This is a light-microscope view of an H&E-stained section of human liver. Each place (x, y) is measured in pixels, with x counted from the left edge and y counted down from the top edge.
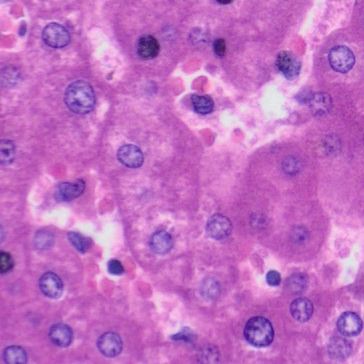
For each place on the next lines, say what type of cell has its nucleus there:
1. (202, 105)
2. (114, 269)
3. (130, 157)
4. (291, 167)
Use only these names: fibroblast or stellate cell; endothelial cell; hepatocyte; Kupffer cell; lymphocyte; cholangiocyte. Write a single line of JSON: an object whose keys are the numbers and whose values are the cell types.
{"1": "Kupffer cell", "2": "lymphocyte", "3": "hepatocyte", "4": "hepatocyte"}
